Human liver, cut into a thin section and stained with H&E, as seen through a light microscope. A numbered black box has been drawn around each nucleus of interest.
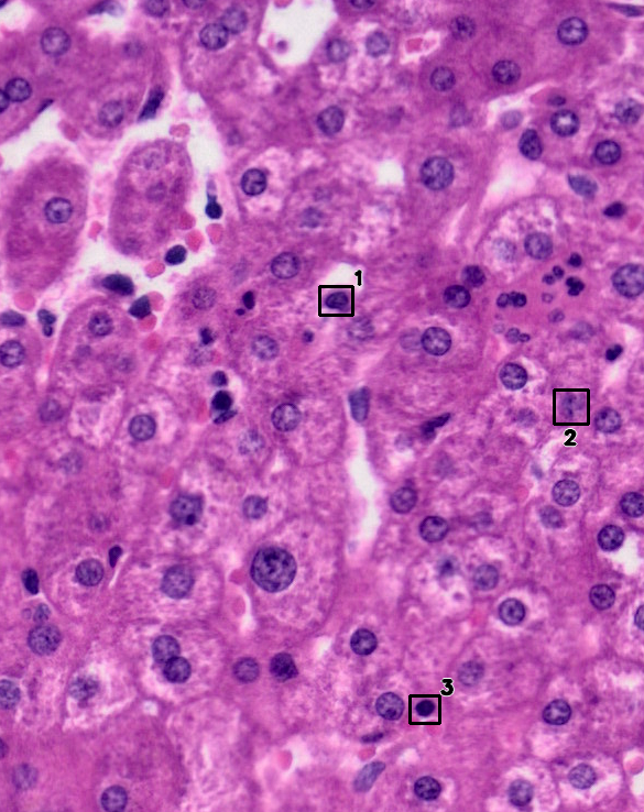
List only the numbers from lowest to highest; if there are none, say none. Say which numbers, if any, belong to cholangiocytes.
none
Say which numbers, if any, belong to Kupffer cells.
1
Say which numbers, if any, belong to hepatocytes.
2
